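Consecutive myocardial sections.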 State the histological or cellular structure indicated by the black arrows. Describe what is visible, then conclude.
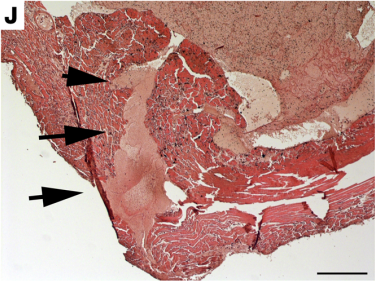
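The arrows point to a pale, pink band that cuts through the red-stained myocardial wall. The muscle on either side of the band is torn apart into separated fragments. That points to this answer: intramural rupture track.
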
